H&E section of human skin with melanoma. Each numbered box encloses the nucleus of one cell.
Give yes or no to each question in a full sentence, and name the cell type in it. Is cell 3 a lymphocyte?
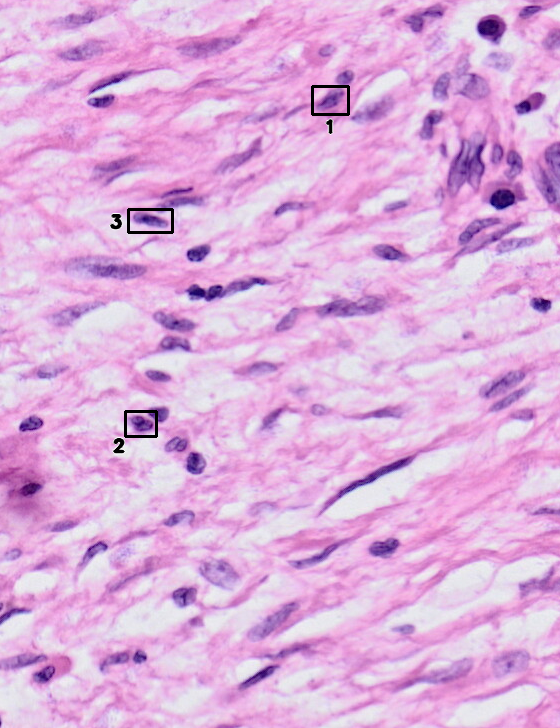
Yes, of the numbered cells, number 3 is a lymphocyte.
